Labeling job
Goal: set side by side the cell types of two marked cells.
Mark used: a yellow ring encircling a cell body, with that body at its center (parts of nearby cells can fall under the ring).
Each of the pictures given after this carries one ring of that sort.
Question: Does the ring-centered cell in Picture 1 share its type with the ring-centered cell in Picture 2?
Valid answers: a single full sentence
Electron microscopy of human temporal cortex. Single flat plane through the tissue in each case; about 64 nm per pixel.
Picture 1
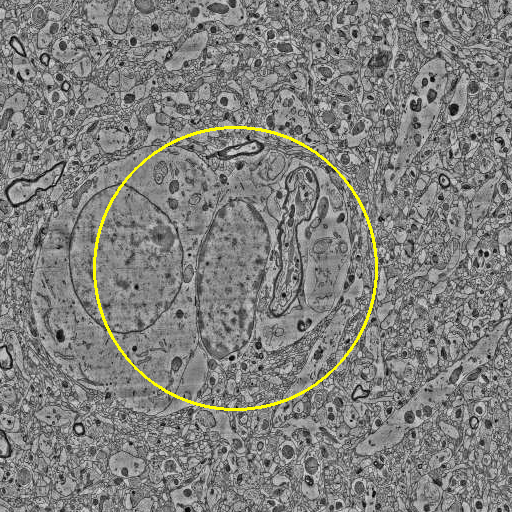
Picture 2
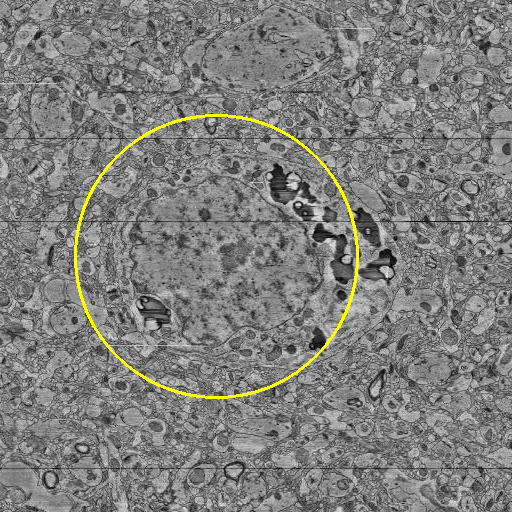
Yes, in Pictures 1 and 2 the cells at the ring centers share one type.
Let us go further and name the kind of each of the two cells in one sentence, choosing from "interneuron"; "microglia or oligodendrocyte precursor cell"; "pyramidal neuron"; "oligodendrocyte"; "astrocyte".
Each of the ringed cells, first and second, is a microglial cell or oligodendrocyte precursor cell.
